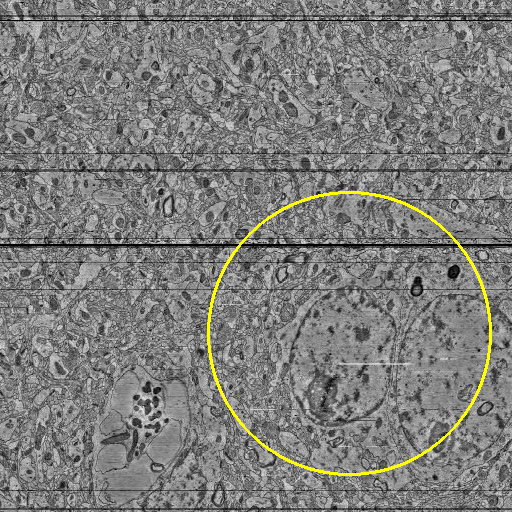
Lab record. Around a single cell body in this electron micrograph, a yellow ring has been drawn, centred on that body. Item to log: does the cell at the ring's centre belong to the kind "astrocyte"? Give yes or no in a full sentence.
Yes, in the micrograph, the ringed cell at the centre belongs to that kind.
